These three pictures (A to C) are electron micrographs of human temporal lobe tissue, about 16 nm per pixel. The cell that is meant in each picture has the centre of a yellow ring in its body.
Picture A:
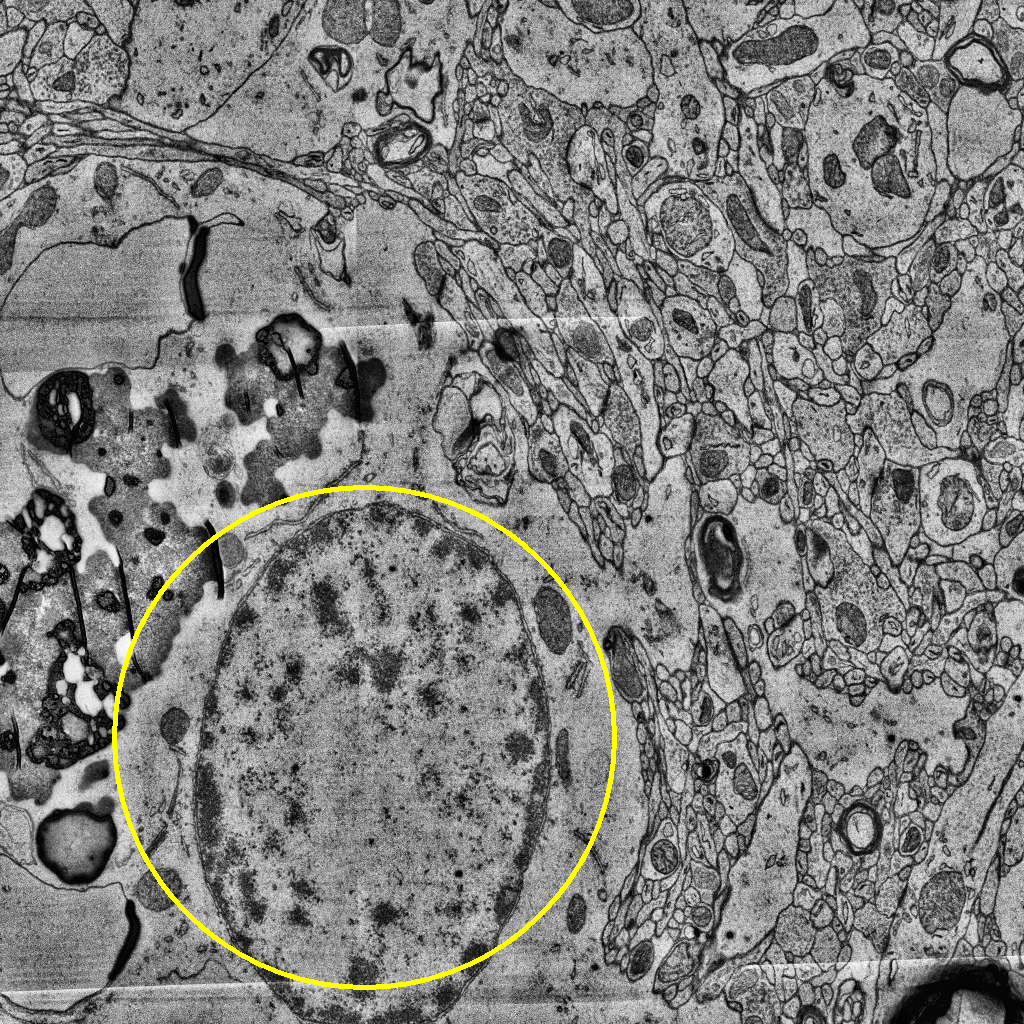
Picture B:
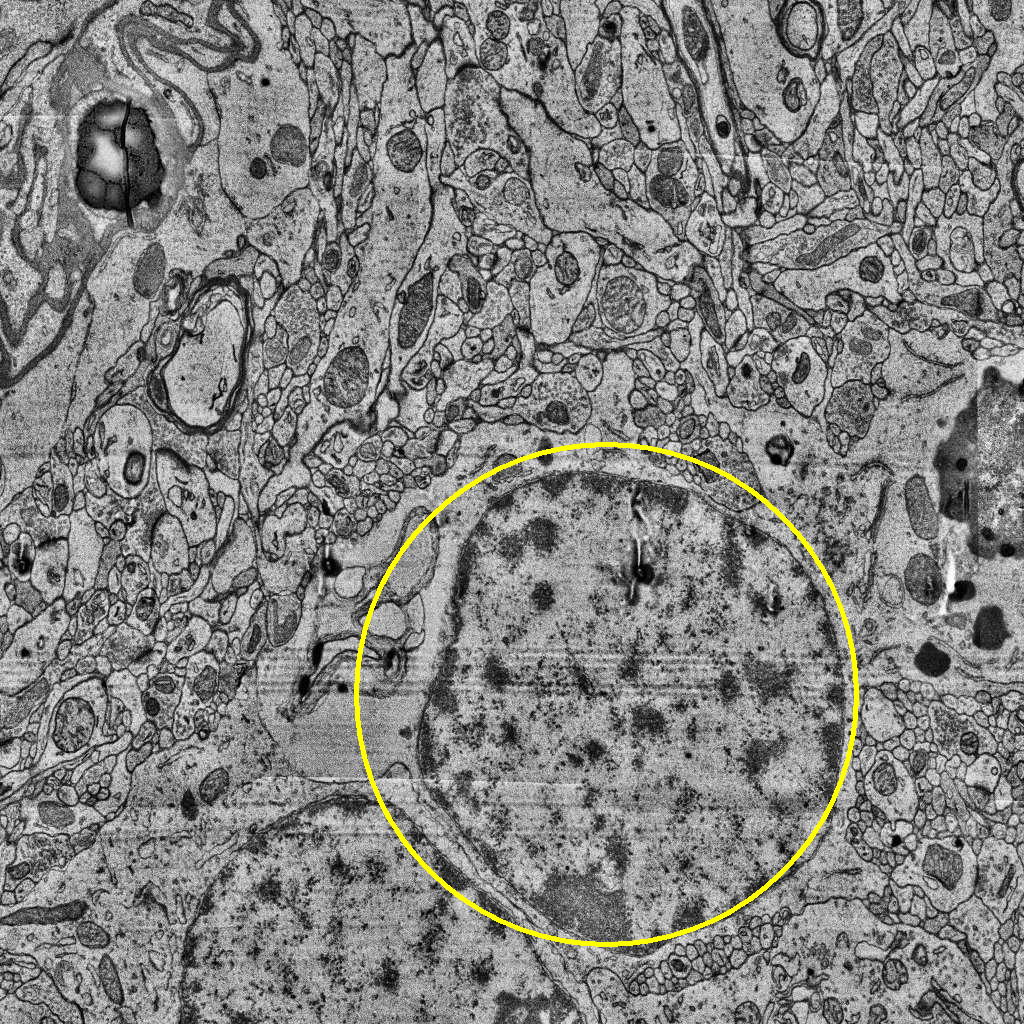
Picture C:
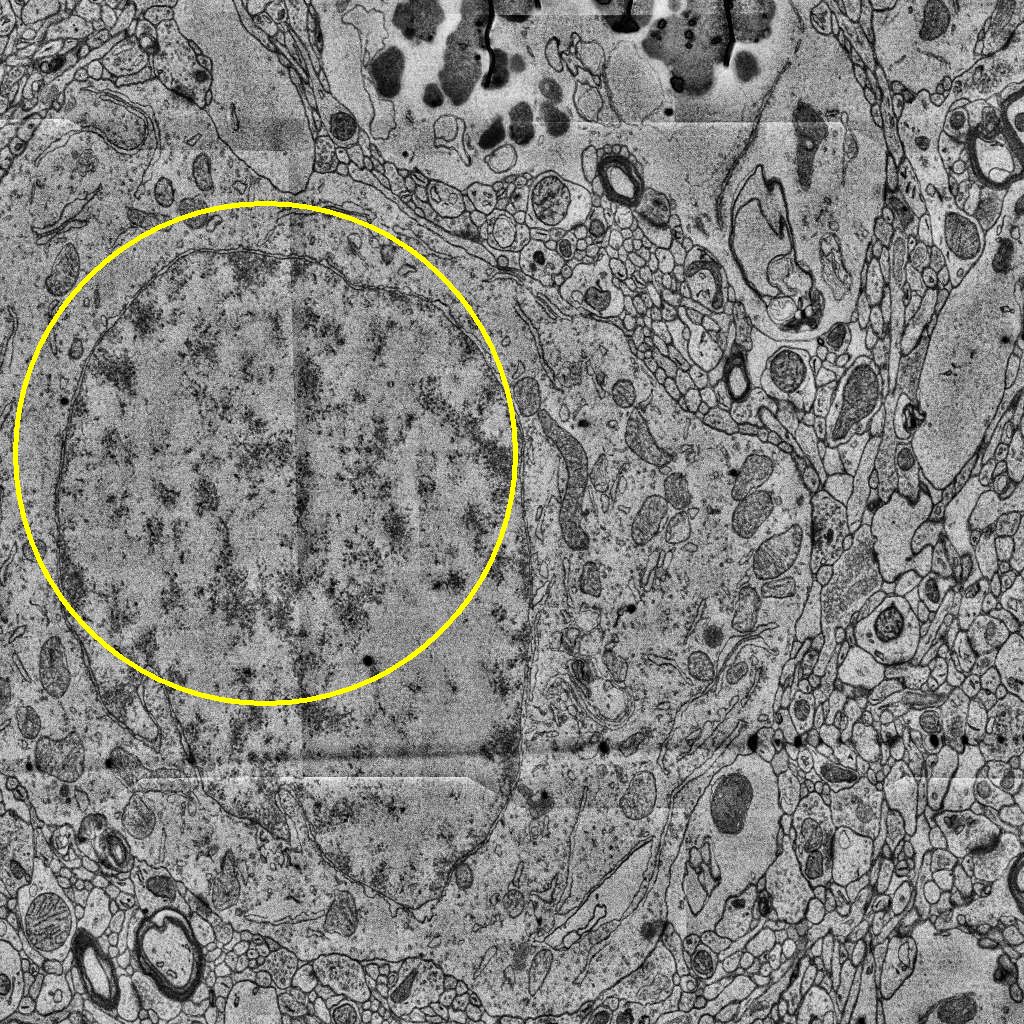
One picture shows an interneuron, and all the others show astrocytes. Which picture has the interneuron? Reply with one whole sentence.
Picture C shows the interneuron.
